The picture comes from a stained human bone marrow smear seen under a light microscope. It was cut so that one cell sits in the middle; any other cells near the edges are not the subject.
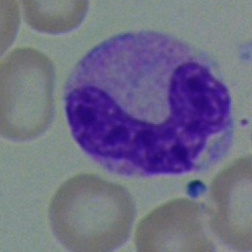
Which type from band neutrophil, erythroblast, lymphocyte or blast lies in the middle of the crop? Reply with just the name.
band neutrophil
